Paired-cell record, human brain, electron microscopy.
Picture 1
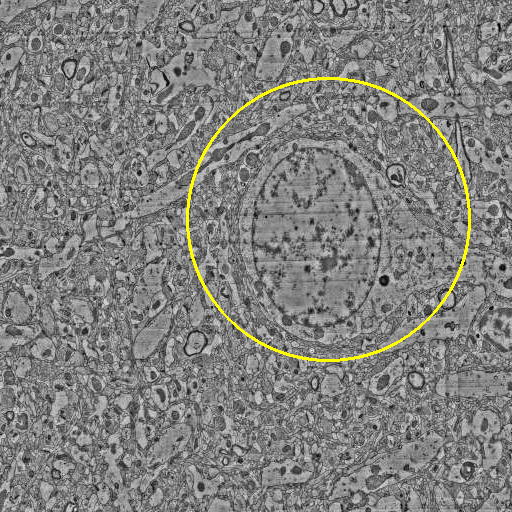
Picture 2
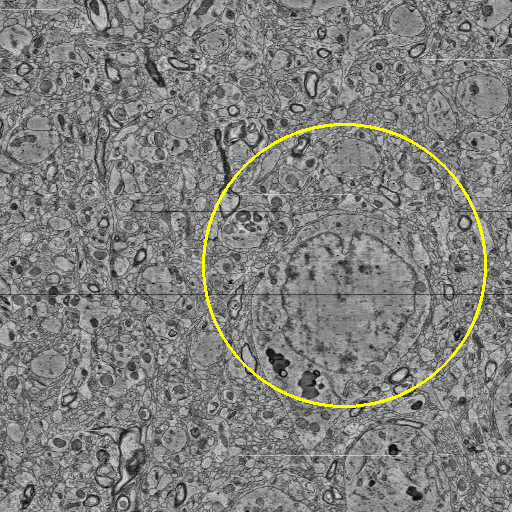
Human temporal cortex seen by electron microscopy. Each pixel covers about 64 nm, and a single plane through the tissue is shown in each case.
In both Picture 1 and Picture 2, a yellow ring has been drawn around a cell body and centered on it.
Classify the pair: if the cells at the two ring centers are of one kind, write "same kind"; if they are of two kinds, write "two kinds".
two kinds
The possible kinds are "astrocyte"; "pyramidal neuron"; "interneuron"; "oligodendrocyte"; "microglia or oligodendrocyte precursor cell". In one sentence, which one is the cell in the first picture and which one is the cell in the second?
The cell ringed in the second picture is an interneuron, whereas the one ringed in the first is a pyramidal neuron.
